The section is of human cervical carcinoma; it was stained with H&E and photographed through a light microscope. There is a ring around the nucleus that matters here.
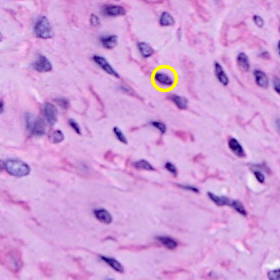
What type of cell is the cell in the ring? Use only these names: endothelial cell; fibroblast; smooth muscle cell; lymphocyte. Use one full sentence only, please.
The category to which the cell in the ring belongs is that of a smooth muscle cell.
